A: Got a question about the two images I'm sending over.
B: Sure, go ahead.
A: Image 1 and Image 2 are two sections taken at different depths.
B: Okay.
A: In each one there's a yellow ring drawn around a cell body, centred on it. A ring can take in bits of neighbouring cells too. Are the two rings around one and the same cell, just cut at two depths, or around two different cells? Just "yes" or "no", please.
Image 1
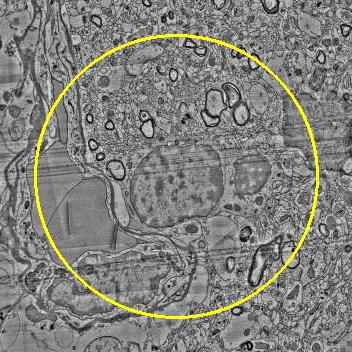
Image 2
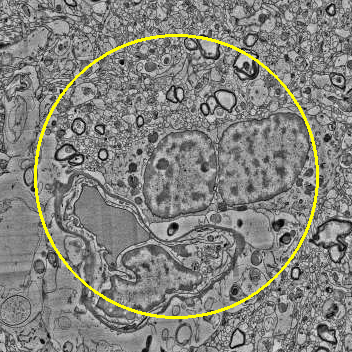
yes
